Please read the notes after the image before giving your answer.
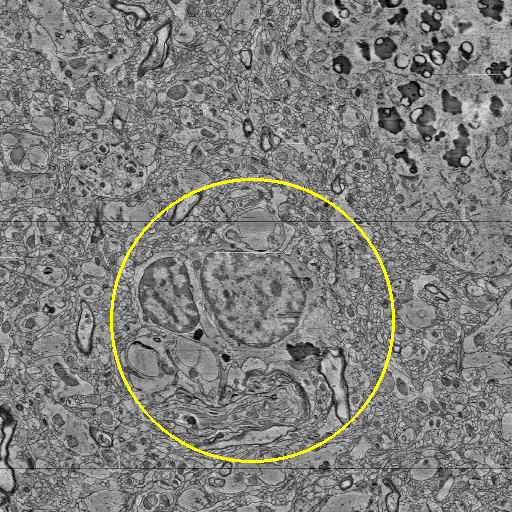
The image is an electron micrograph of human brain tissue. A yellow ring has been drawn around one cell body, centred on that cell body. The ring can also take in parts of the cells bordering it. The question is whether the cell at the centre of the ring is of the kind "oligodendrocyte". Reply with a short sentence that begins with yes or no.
Yes, the cell at the centre is of that kind.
